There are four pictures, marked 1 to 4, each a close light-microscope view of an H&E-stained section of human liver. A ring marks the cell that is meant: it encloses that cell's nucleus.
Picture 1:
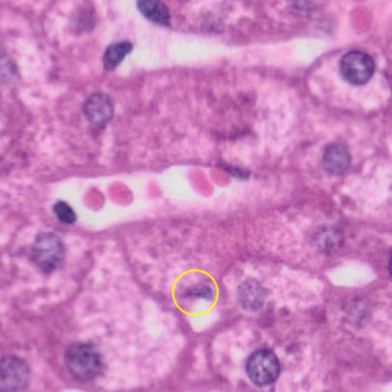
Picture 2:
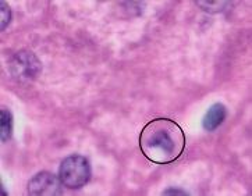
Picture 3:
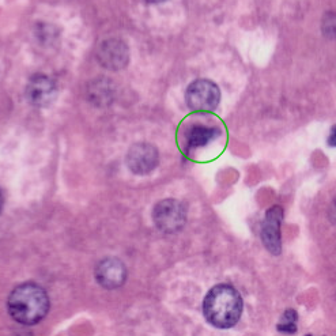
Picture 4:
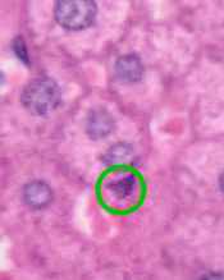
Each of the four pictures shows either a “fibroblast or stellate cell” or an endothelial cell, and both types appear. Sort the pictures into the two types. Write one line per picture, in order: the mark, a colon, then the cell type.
1: endothelial cell
2: endothelial cell
3: fibroblast or stellate cell
4: fibroblast or stellate cell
